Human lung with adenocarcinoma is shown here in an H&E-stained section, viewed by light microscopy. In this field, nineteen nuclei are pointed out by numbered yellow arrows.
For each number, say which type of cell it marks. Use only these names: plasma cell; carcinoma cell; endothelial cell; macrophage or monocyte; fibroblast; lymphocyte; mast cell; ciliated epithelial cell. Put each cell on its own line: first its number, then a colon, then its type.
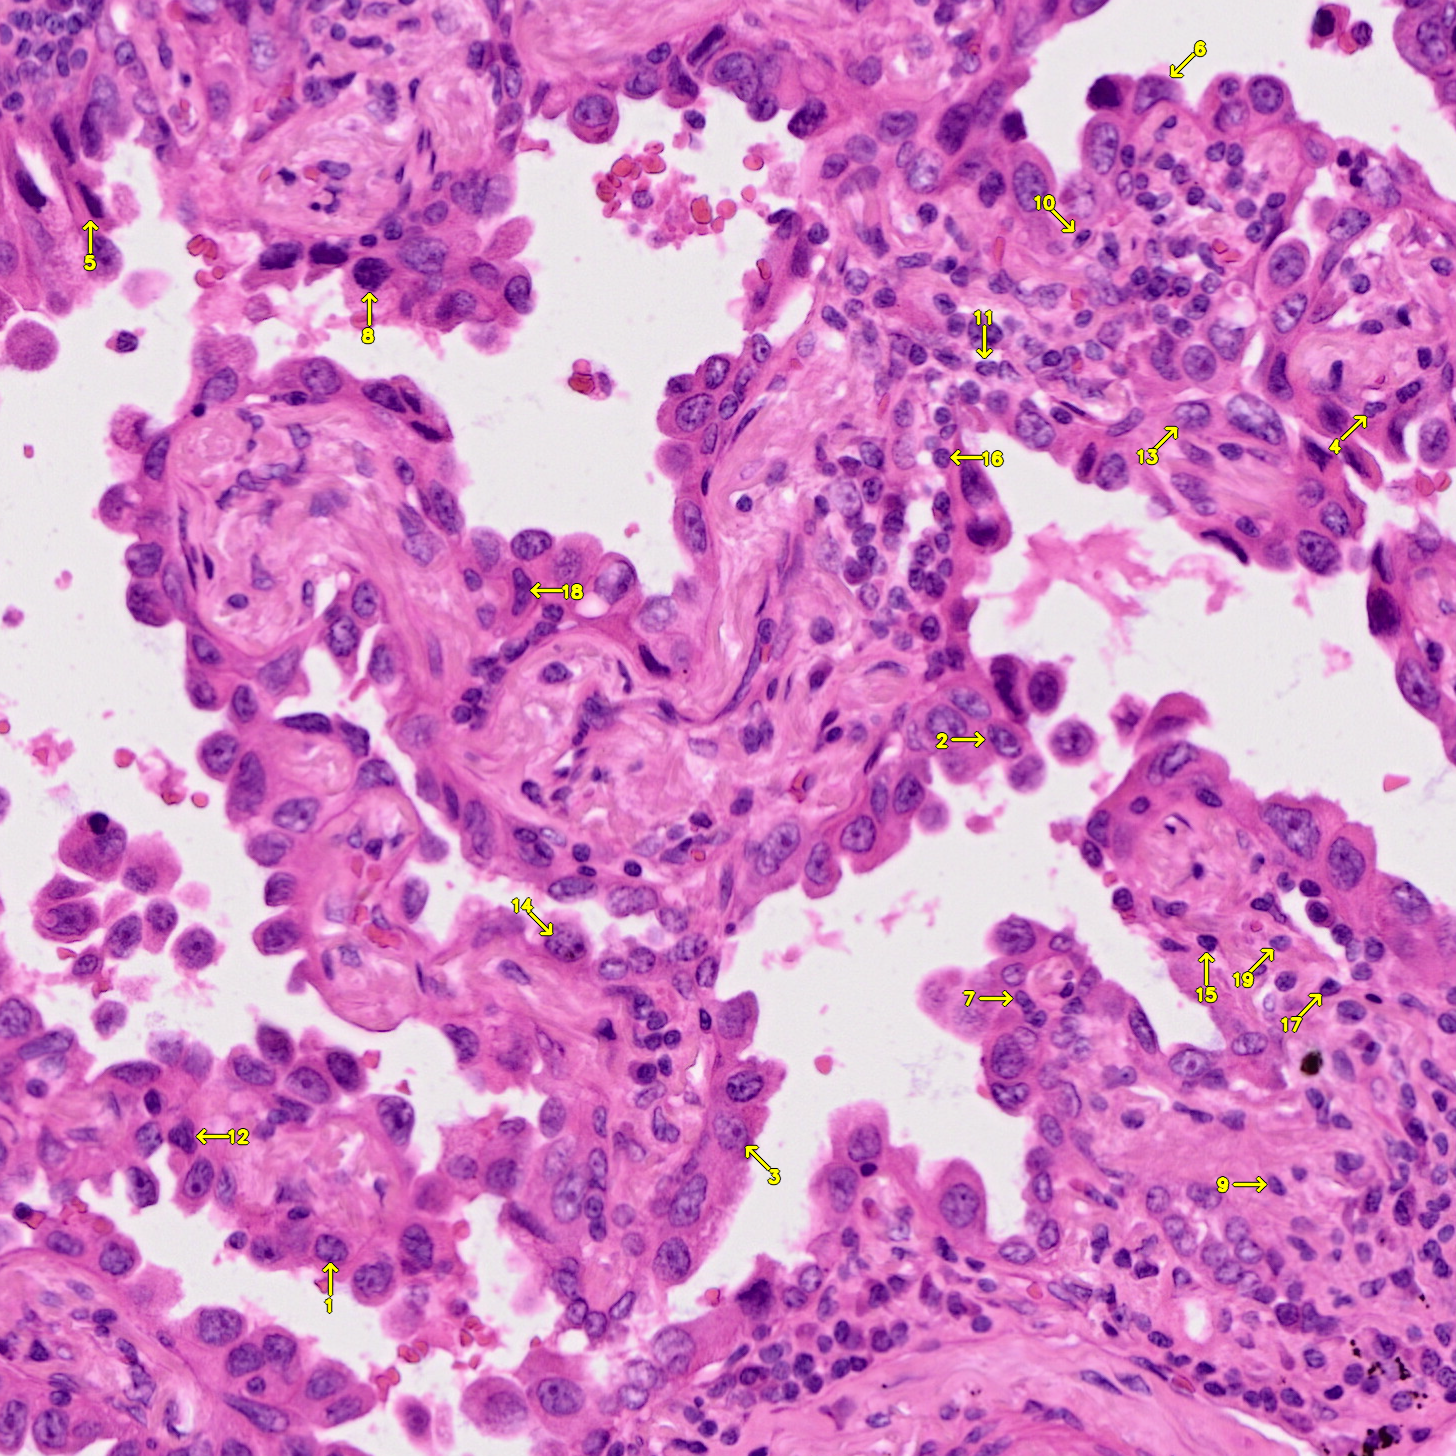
1: carcinoma cell
2: carcinoma cell
3: carcinoma cell
4: lymphocyte
5: carcinoma cell
6: carcinoma cell
7: lymphocyte
8: carcinoma cell
9: lymphocyte
10: lymphocyte
11: lymphocyte
12: carcinoma cell
13: carcinoma cell
14: carcinoma cell
15: lymphocyte
16: lymphocyte
17: lymphocyte
18: carcinoma cell
19: lymphocyte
